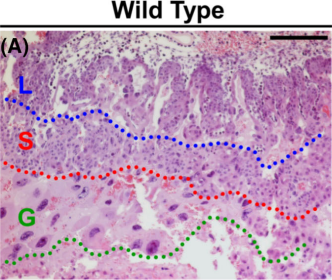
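This placental section shows three stacked trophoblast layers: labyrinth on top, spongiotrophoblast in the middle and a trophoblast giant cell layer at the bottom. The spongiotrophoblast forms a compact band of tightly packed small cells with purple-staining nuclei. Below it lie scattered very large cells with big nuclei and abundant pink cytoplasm, the trophoblast giant cells.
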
